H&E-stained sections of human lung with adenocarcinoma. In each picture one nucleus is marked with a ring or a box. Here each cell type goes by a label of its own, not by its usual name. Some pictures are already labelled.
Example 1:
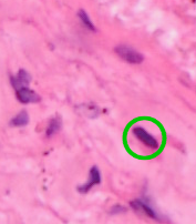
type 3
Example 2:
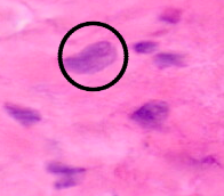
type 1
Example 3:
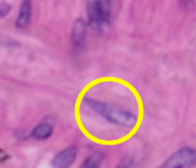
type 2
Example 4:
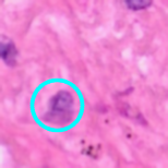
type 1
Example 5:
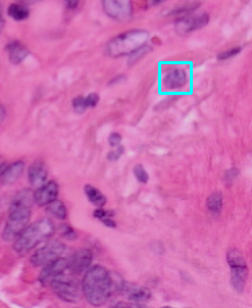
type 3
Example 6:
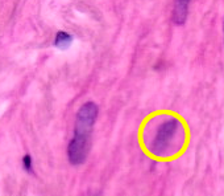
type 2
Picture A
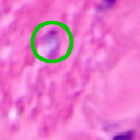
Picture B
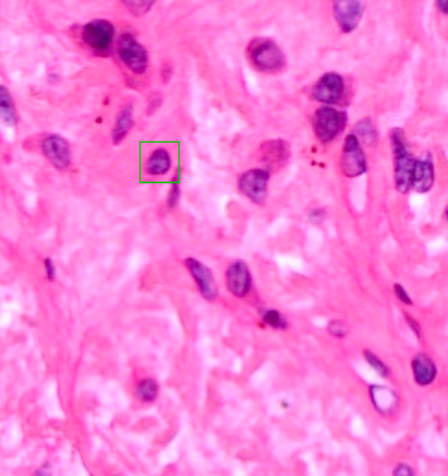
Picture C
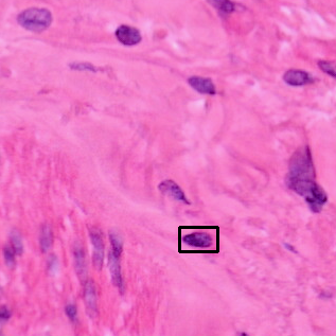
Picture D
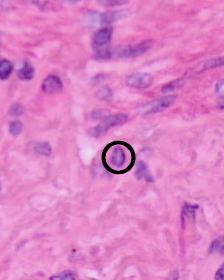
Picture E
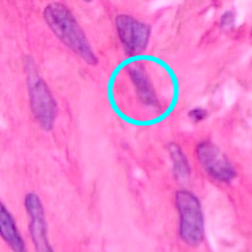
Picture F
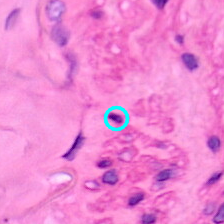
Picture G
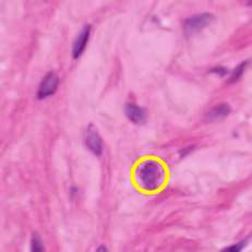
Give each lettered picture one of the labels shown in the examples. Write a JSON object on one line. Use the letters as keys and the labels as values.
{"A": "type 2", "B": "type 3", "C": "type 3", "D": "type 3", "E": "type 2", "F": "type 2", "G": "type 2"}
